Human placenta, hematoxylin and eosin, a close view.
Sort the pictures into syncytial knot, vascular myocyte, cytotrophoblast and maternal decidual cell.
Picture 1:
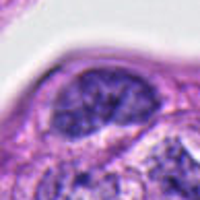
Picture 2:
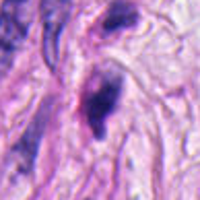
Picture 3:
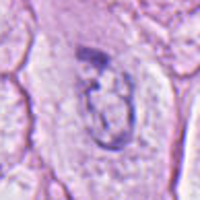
Cytotrophoblasts: 1
Vascular myocytes: 2
Maternal decidual cells: 3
